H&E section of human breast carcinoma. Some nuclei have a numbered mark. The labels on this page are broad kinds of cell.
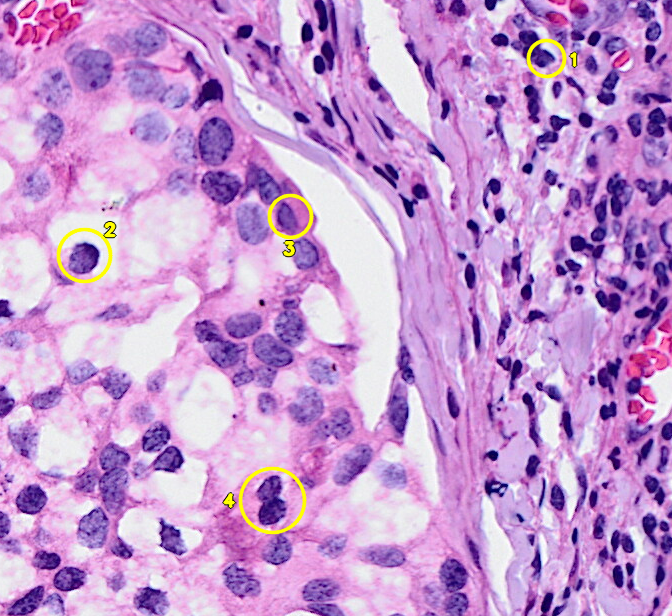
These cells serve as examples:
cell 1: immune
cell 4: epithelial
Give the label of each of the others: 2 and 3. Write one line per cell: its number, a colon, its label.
2: epithelial
3: epithelial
